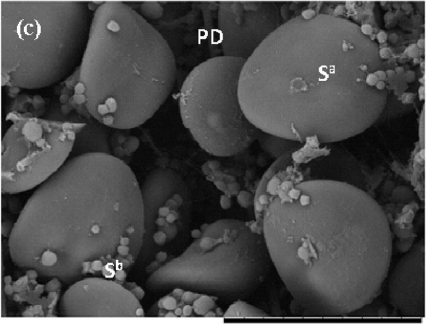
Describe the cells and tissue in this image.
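This is a fractured cereal grain endosperm showing large starch granules with smaller starch granules and protein material between them. The large granules are smooth, rounded to lens-shaped bodies lying closely packed beside one another. Numerous small spherical granules cluster in the spaces between the large ones and sit on their surfaces. Flaky, irregular protein material adheres to the granules and fills some of the gaps.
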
